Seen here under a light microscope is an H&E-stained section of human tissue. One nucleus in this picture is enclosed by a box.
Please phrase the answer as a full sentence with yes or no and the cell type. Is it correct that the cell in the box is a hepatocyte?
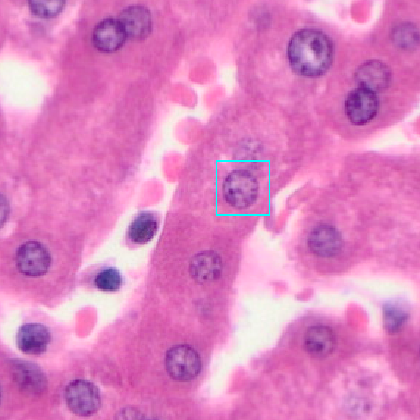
Yes, the cell in the box is a hepatocyte; nothing to add.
